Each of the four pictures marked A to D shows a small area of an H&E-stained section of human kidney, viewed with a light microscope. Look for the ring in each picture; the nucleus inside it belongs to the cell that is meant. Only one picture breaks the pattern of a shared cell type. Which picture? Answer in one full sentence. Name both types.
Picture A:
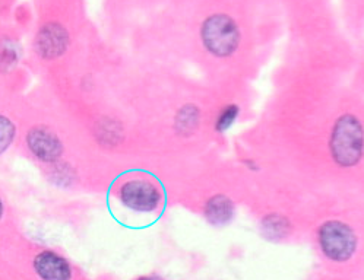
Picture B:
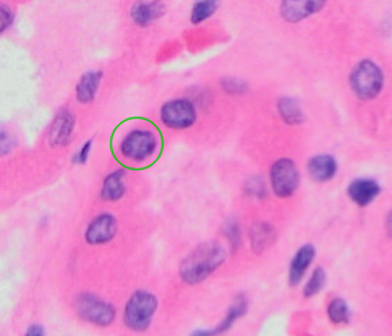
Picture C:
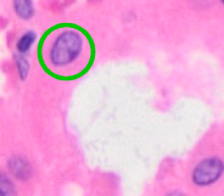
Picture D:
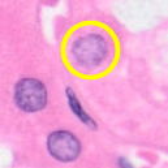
All pictures except A show proximal tubule cells; picture A shows a “loop of Henle or distal tubule cell”.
